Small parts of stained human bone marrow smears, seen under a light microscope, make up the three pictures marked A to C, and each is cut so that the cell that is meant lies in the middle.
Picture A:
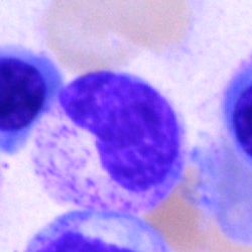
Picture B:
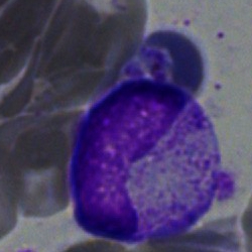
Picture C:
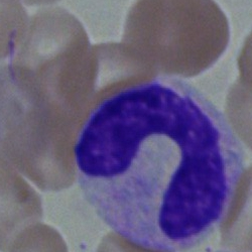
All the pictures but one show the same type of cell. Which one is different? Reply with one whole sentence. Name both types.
All pictures except C show metamyelocytes; picture C shows a band neutrophil.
